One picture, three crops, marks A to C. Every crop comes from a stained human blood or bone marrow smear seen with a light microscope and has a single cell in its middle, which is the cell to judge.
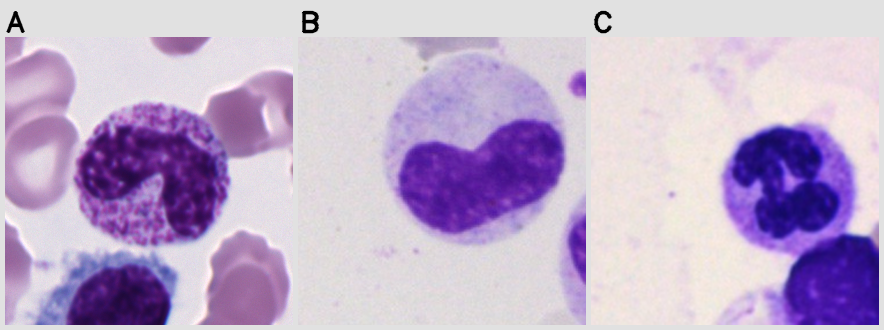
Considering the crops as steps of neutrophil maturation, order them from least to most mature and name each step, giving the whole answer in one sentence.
Ordering these by maturity, least mature first, yields crop B (a metamyelocyte), crop A (a band neutrophil) and crop C (a segmented neutrophil).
